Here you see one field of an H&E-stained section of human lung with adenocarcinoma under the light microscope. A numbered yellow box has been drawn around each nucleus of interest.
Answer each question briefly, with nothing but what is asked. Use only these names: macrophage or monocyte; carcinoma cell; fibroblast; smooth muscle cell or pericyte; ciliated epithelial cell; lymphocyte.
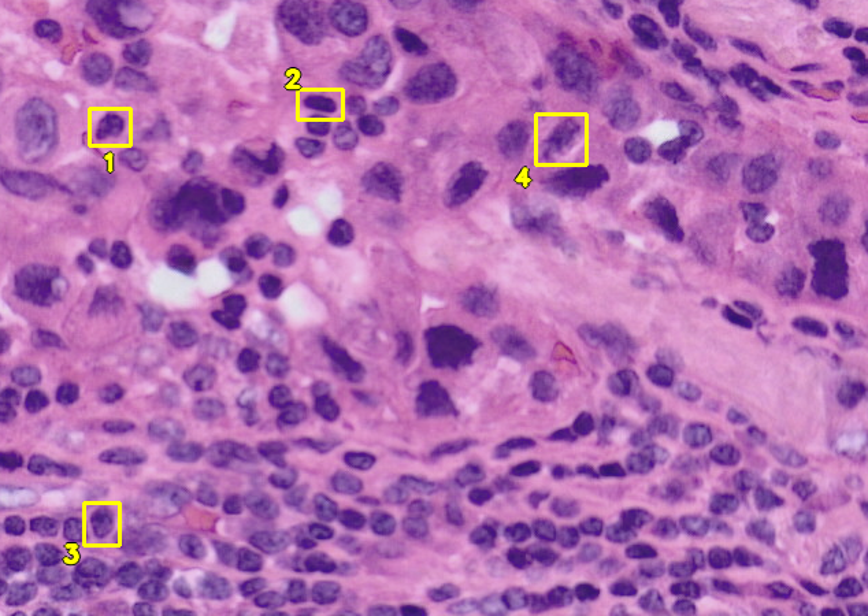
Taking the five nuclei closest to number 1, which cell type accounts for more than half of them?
macrophage or monocyte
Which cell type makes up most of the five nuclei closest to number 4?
carcinoma cell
